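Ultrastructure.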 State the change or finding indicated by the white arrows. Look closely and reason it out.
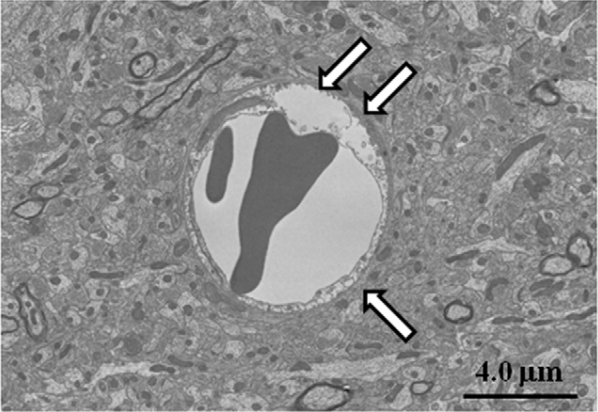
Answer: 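Partial disruption of the cytoplasmic membranes of endothelial cells. The arrows point at the lining of a round vessel lumen. At the upper right the lining is ragged, with loose, fragmented pale material along the wall.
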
